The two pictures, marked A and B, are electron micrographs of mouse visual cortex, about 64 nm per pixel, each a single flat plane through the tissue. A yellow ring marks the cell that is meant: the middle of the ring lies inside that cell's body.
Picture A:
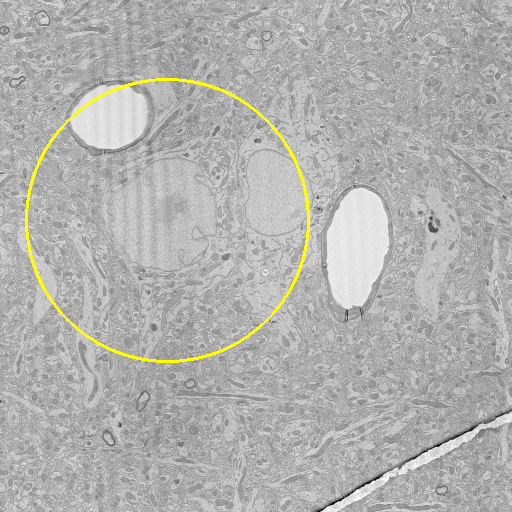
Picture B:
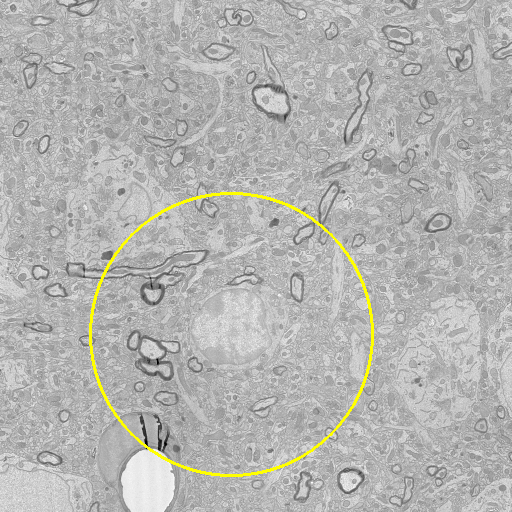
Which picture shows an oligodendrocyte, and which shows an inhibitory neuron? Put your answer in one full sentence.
It is picture A that shows an inhibitory neuron, and picture B that shows an oligodendrocyte.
